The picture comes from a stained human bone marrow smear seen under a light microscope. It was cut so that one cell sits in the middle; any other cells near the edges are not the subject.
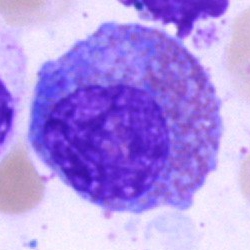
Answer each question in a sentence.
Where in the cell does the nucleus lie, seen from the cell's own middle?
Seen from the middle of the cell, the nucleus lies toward the lower left.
